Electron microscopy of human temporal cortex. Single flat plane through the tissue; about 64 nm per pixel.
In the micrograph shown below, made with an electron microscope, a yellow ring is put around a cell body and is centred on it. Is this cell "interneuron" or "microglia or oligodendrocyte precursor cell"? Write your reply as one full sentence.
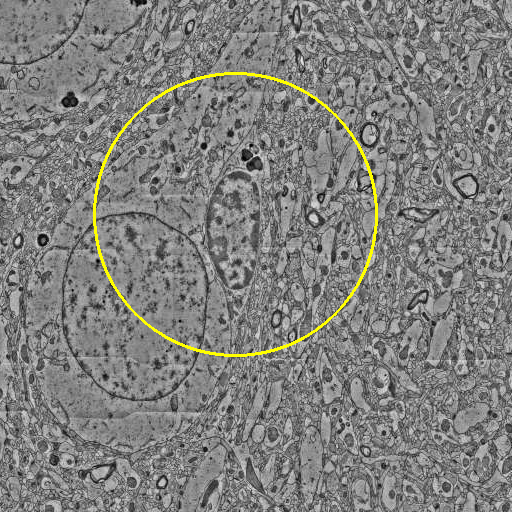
In the micrograph, a microglial cell or oligodendrocyte precursor cell is the cell at the centre of the yellow ring.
